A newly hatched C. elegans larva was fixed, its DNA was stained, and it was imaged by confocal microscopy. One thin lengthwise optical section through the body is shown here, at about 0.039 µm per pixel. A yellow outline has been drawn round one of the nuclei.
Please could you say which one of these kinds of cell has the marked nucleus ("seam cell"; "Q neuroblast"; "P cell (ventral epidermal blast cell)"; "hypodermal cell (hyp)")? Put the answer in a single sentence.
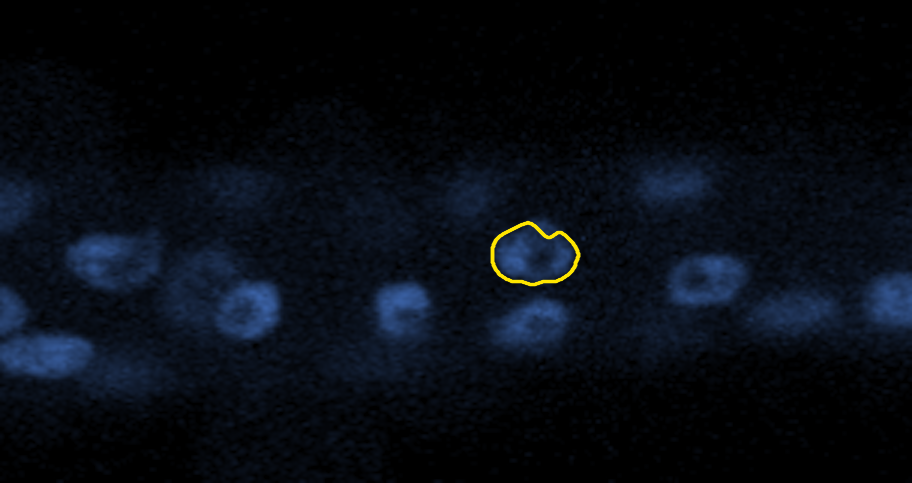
The marked nucleus belongs to a hypodermal cell (hyp).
